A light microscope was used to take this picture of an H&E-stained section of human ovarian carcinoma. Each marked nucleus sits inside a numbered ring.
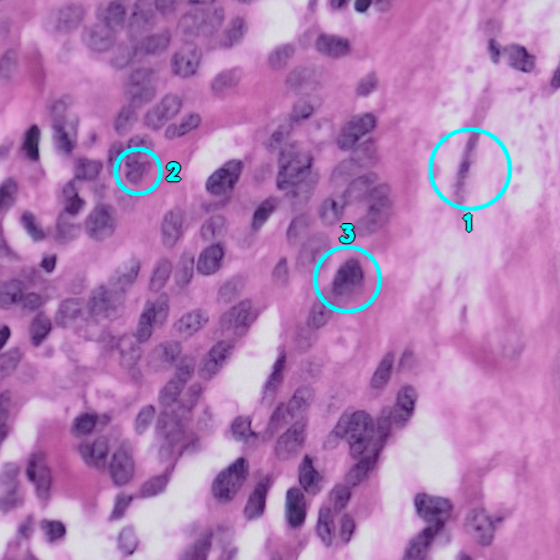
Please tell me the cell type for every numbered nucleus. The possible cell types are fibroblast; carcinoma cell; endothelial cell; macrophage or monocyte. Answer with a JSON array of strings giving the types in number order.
["fibroblast", "carcinoma cell", "carcinoma cell"]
